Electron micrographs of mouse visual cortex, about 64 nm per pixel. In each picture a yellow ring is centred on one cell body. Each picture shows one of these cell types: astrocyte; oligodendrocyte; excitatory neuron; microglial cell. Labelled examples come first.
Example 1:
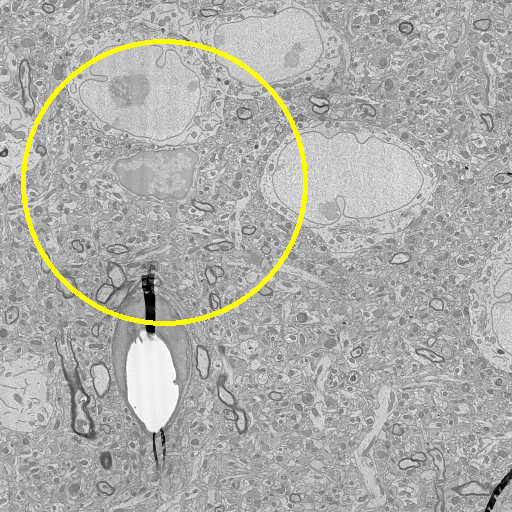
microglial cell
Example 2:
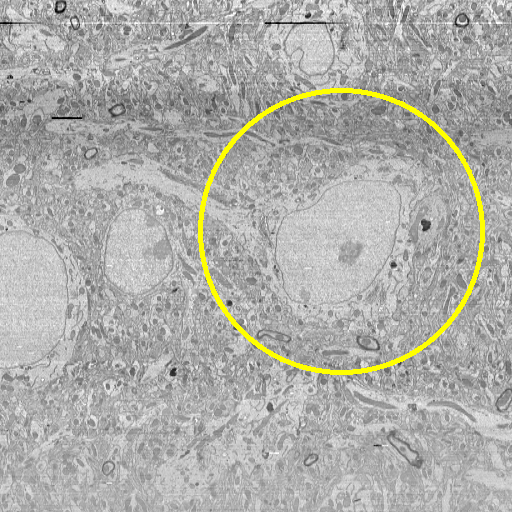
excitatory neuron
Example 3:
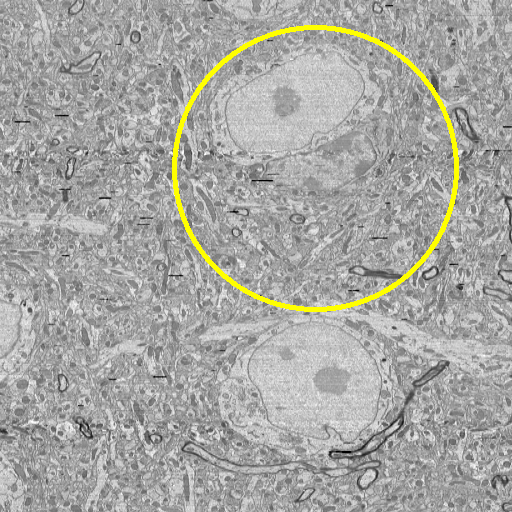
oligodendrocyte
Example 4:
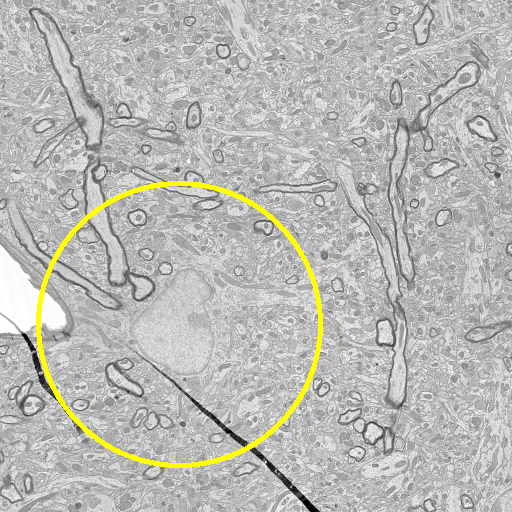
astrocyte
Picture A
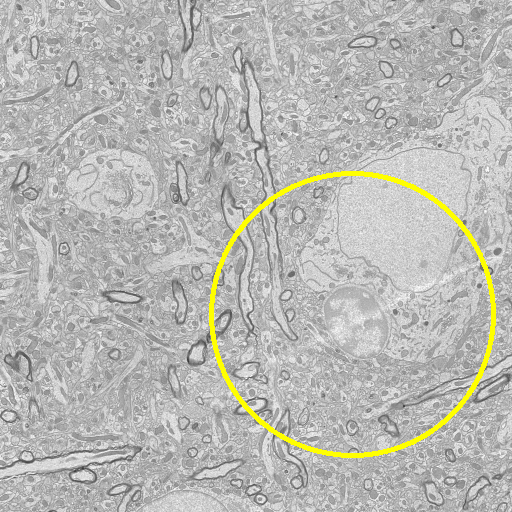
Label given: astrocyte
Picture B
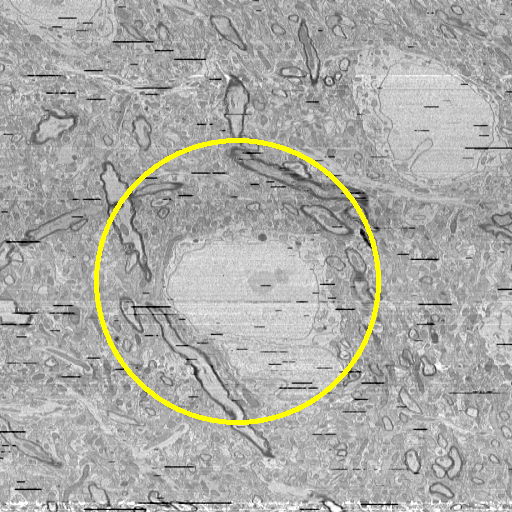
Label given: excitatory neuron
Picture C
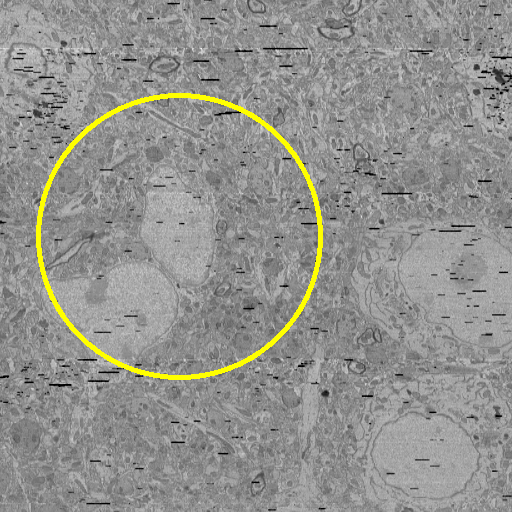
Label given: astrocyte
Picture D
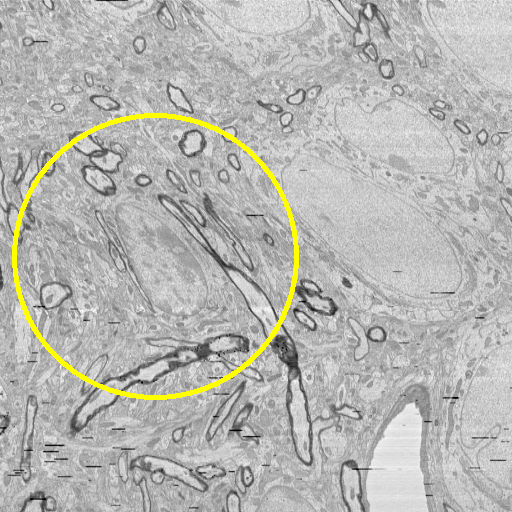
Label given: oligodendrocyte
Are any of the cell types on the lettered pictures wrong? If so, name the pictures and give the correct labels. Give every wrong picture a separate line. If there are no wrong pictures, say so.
Wrong: A (astrocyte); correct: oligodendrocyte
